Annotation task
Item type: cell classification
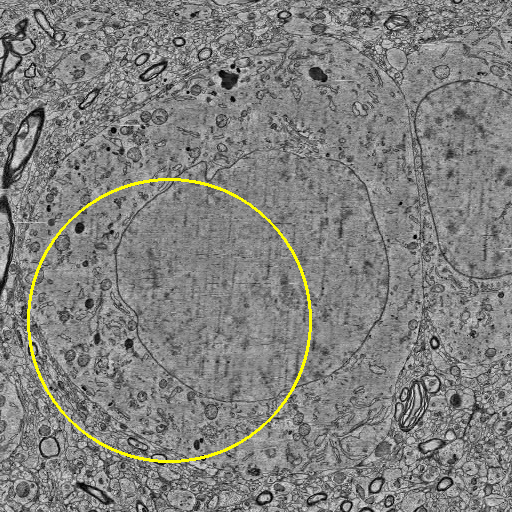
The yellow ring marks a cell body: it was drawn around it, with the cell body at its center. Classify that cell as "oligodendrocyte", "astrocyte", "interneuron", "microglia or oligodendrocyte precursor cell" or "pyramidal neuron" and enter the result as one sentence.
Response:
The ring's center falls on a pyramidal neuron.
